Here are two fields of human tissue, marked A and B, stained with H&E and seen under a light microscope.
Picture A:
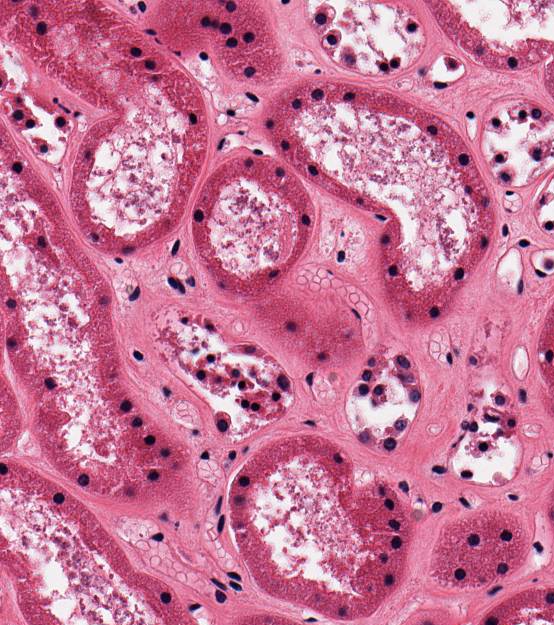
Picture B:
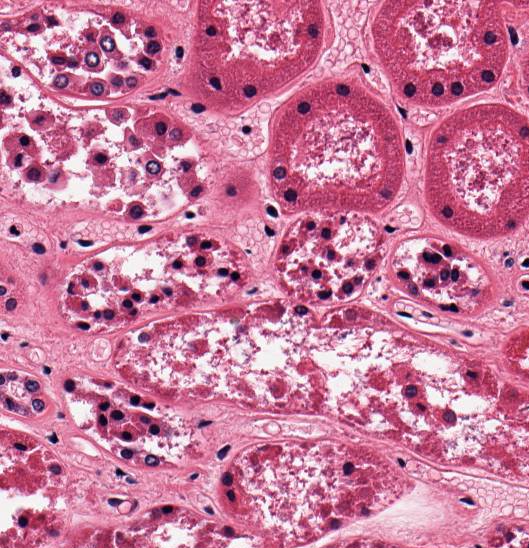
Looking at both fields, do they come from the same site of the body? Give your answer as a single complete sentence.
Yes; both pictures come from the renal cortex.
